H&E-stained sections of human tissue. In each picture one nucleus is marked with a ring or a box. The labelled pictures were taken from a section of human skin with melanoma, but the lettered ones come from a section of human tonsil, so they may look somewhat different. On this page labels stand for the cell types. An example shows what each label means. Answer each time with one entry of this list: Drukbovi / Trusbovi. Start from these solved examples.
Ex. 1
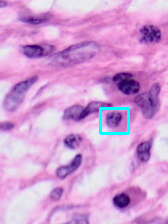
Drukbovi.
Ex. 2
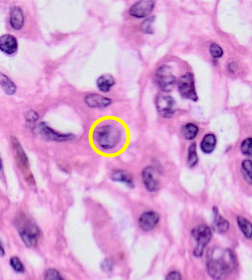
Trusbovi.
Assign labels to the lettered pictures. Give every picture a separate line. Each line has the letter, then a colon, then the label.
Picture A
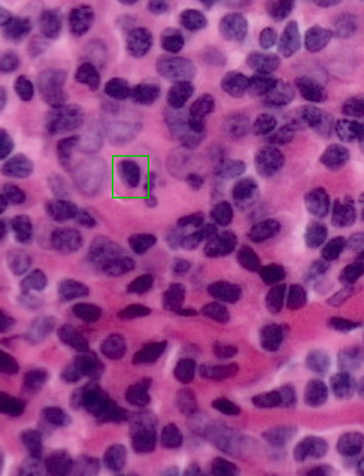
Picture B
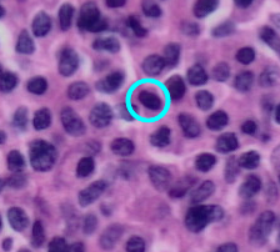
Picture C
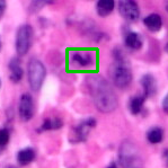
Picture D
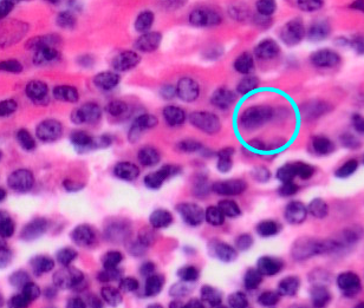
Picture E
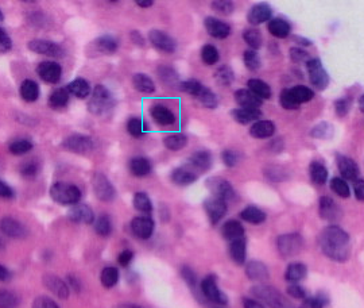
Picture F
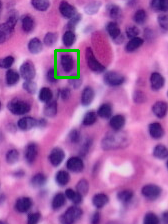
A: Trusbovi.
B: Drukbovi.
C: Trusbovi.
D: Trusbovi.
E: Drukbovi.
F: Drukbovi.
